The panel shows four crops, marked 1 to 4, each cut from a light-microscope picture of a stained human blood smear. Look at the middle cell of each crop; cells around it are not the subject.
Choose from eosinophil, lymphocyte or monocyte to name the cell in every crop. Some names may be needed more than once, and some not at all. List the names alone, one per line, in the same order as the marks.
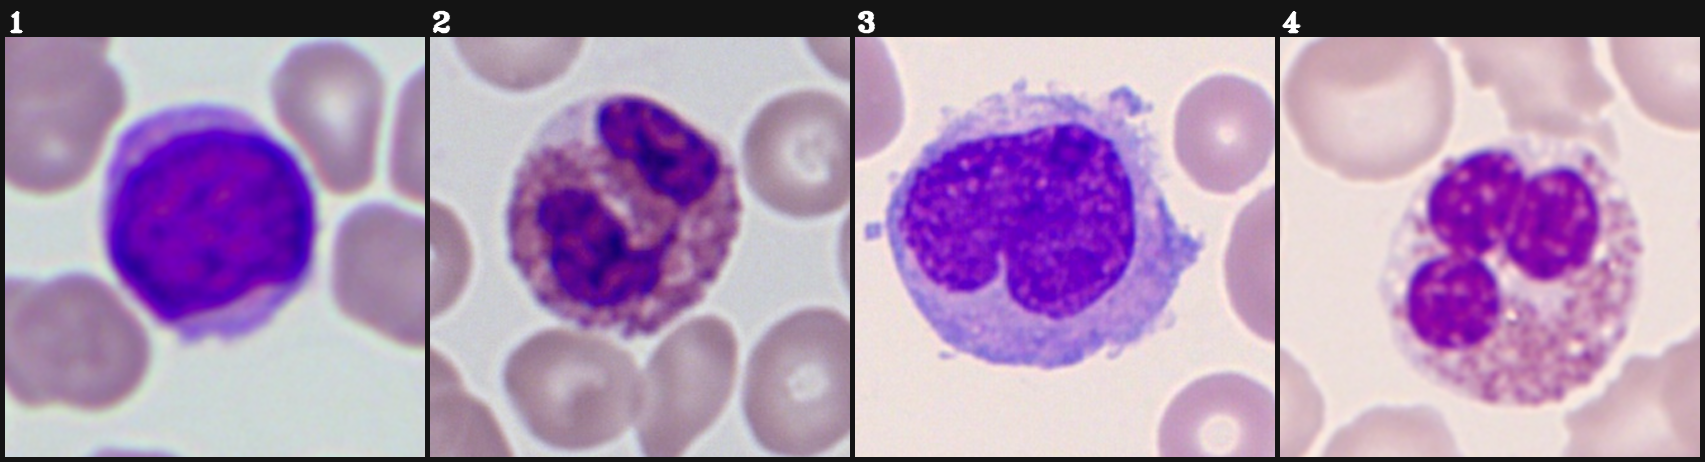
lymphocyte
eosinophil
monocyte
eosinophil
